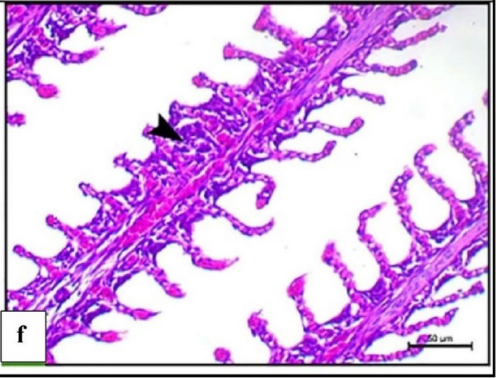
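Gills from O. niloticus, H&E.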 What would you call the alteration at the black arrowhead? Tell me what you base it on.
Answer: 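At the arrowhead a crowded mass of cells fills the bases between side projections. Elsewhere the side projections stand free and evenly spaced.
Hence: focal epithelial hyperplasia.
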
